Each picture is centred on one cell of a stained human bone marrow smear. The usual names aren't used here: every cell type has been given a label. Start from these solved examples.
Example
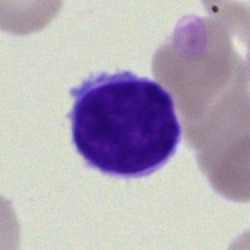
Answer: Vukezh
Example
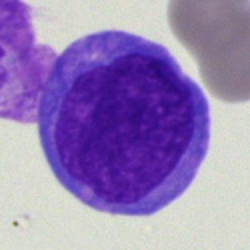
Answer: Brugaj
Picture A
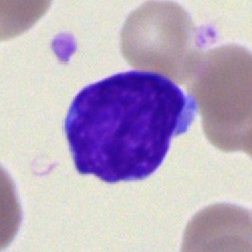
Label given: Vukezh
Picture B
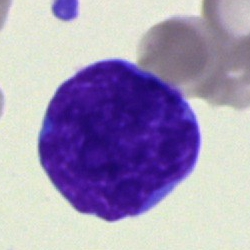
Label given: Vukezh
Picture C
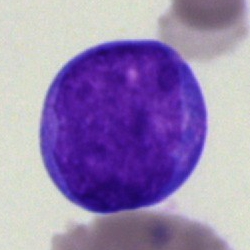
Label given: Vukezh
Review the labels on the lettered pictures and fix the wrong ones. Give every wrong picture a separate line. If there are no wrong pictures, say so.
Wrong: B (Vukezh); correct: Brugaj
Wrong: C (Vukezh); correct: Brugaj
